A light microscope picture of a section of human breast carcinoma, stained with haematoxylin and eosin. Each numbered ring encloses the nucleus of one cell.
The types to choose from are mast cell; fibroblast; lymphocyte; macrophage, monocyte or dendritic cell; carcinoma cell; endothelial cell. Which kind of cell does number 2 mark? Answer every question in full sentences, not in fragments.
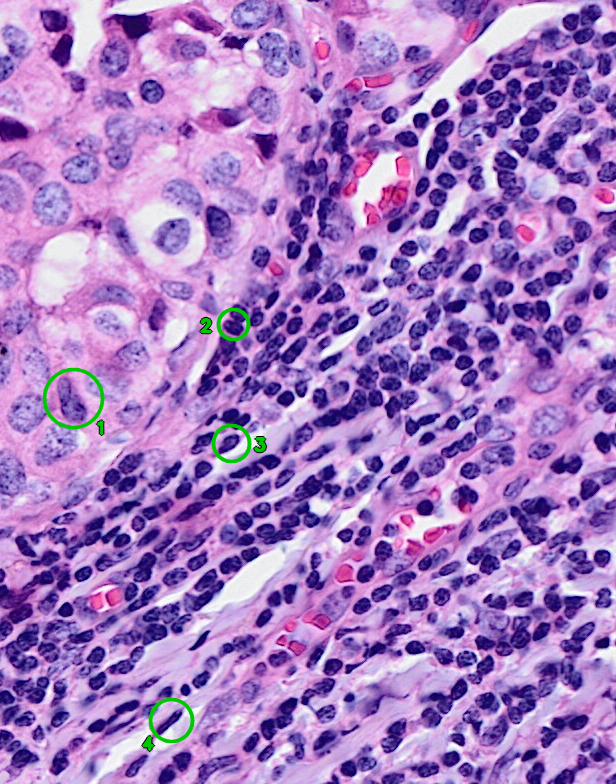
The cell carrying label 2 is identified as a lymphocyte.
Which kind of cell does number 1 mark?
Identified as a carcinoma cell is the cell bearing the number 1.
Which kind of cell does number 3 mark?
In this section, the cell tagged 3 is a lymphocyte.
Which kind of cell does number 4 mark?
The cell that carries the label 4 is a lymphocyte.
